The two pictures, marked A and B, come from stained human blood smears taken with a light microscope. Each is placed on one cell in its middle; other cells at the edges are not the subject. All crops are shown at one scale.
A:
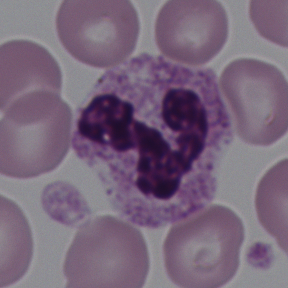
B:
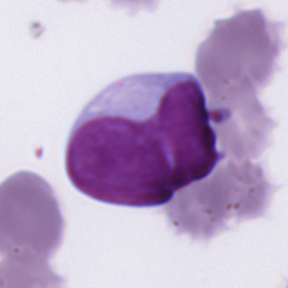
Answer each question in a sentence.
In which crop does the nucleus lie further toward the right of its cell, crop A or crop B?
In crop A the nucleus is shifted more toward the right.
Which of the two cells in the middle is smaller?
The cell in crop A is smaller; the one in crop B has about 1.5 times its area.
